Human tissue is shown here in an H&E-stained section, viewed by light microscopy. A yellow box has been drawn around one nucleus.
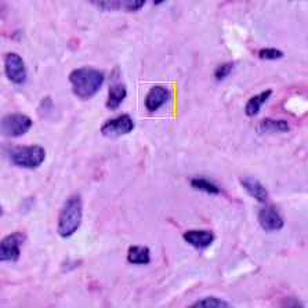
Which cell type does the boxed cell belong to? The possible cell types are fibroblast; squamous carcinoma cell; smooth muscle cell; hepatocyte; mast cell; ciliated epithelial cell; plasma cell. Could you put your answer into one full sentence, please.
Right, so the boxed cell is a fibroblast, to answer that.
